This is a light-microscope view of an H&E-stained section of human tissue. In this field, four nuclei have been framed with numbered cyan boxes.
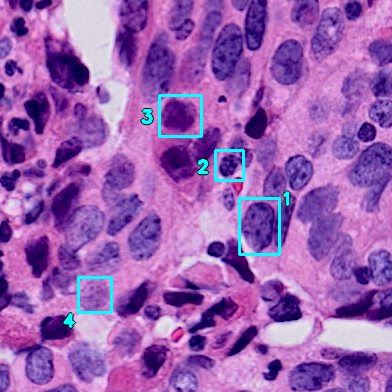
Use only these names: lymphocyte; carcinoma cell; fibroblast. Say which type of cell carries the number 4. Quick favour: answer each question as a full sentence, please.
The nucleus with number 4 is that of a carcinoma cell.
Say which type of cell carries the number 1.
Number 1 is placed on a carcinoma cell here.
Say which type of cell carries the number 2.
The one labeled 2 is a lymphocyte, to put it simply.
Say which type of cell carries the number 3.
Belonging to a carcinoma cell is the nucleus that carries the number 3.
